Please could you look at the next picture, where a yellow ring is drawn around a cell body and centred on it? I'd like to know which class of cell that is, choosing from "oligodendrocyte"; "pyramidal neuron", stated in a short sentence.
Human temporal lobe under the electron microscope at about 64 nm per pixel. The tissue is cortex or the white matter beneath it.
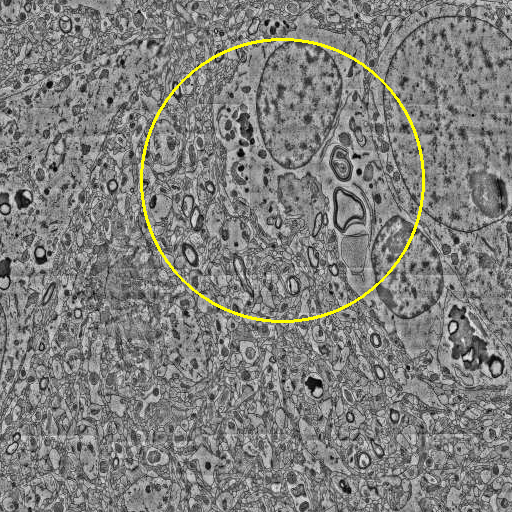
The ring's centre lies on an oligodendrocyte.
